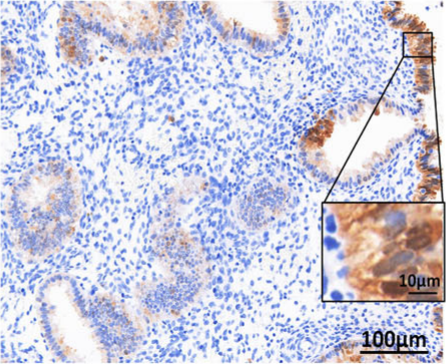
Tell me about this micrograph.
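This is endometrium, with epithelium along the edge of the tissue and glands cut across in a dense stroma. The stroma is packed with small cells whose oval to spindle-shaped nuclei stain blue, with little or no brown. Brown staining appears in patches of the epithelium: some stretches of the lining and some glands are strongly brown, while others are pale. The staining is thus patchy rather than uniform across the section.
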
